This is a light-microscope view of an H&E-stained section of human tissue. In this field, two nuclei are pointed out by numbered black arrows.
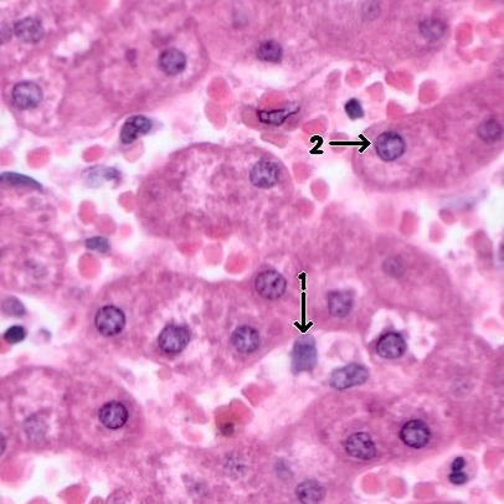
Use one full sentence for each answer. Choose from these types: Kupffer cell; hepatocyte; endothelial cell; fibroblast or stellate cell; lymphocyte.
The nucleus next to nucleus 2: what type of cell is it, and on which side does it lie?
The closest nucleus belongs to a lymphocyte and sits above and to the left of nucleus 2.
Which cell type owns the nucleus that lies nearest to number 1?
The nearest nucleus to number 1 belongs to a Kupffer cell.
